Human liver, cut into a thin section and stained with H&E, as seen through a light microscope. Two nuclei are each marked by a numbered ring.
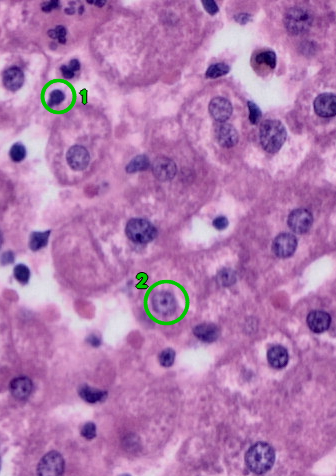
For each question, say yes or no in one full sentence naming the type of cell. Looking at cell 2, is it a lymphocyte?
No, cell 2 has been misnamed; it is a hepatocyte, not a lymphocyte.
